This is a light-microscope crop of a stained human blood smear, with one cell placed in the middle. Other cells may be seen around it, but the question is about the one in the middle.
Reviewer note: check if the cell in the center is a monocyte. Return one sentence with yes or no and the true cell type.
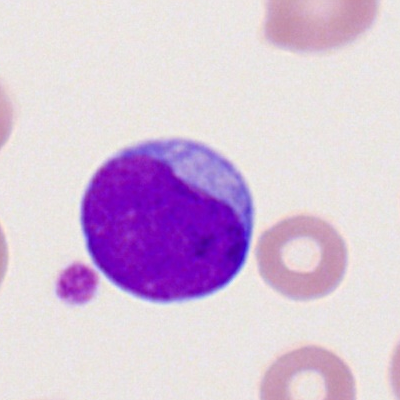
No, the centrally placed cell is a blast, not a monocyte.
